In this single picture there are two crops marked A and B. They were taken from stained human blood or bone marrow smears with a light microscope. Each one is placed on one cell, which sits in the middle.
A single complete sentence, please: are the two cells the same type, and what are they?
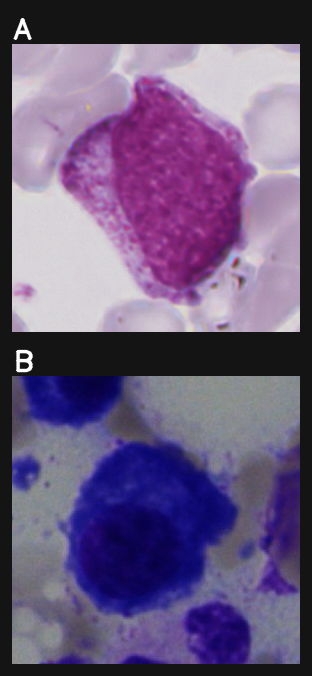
No, the cell at the middle of crop A is a promyelocyte, while crop B centres on a plasma cell.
